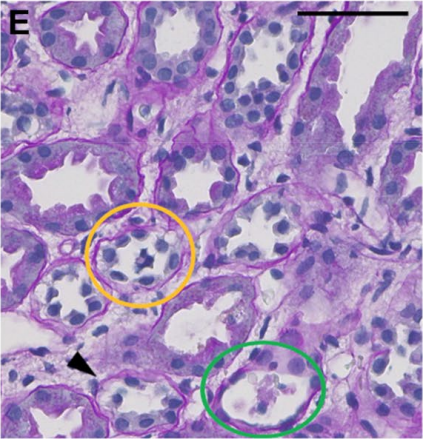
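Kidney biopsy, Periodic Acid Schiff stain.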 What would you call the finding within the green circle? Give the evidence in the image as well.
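Cell debris in the tubular lumina. The circled tubule contains loose fragmented material in its lumen. The lining of the circled tubule is thin with few intact nuclei.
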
